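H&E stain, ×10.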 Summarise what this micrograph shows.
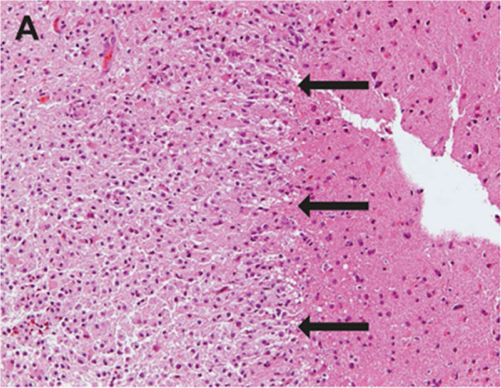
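Brain tissue in which a sharply bordered, hypercellular lesion on the left abuts cerebral cortex on the right. The lesion is paler and loosened, with many closely set nuclei and numerous cells with pale, foamy or granular cytoplasm, in keeping with an inflammatory infiltrate rich in macrophages. The right side is uniformly pink neuropil with only sparse scattered nuclei, including a few larger neuronal cell bodies. The transition between the two areas is abrupt and runs roughly vertically. A white cleft-like space lies within the cortex on the right, and a few red blood cells are seen at the left edge.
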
